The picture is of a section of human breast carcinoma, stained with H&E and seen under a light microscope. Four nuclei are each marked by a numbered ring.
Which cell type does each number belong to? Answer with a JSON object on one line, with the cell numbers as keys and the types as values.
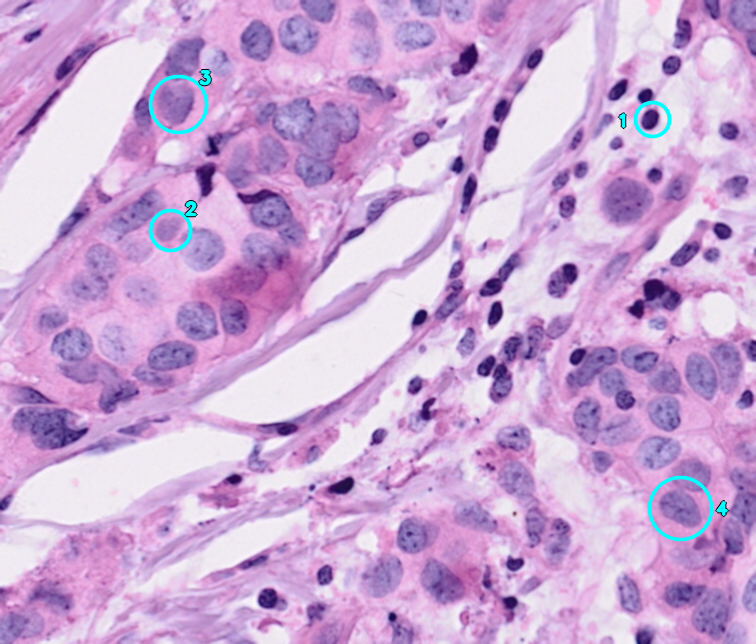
{"1": "lymphocyte", "2": "carcinoma cell", "3": "carcinoma cell", "4": "carcinoma cell"}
